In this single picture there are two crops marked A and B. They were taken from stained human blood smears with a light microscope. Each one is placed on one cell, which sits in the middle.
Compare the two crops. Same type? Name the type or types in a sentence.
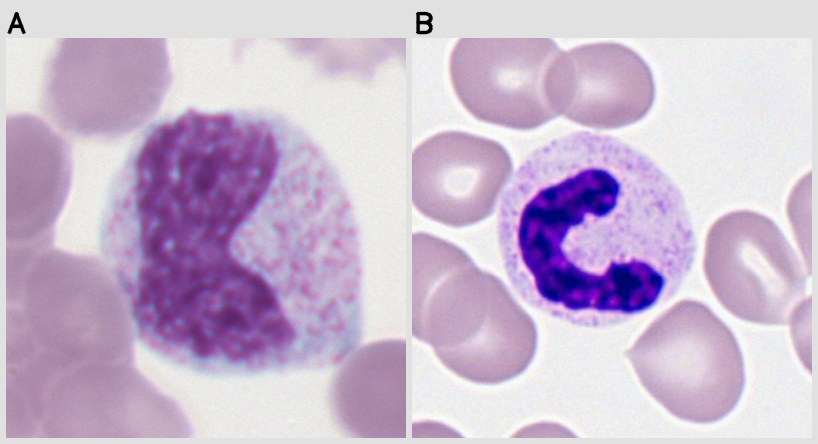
Yes, both crops contain band neutrophils at their centres.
